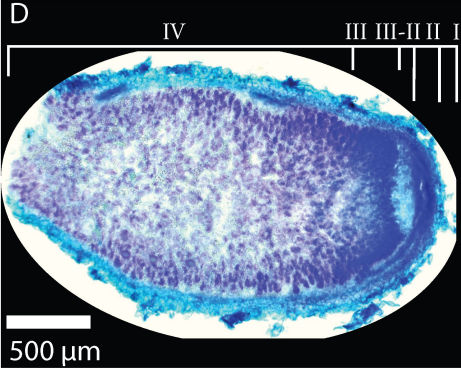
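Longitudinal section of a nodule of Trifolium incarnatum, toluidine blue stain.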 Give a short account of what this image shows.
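Toward one rounded end the central tissue becomes uniformly deep blue, and at the very tip lies a paler band of small cells without the large purple cells. Toward the opposite end the central tissue looks looser and more patchily stained.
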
